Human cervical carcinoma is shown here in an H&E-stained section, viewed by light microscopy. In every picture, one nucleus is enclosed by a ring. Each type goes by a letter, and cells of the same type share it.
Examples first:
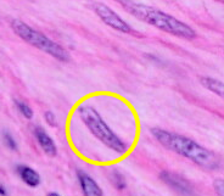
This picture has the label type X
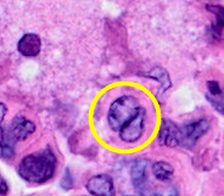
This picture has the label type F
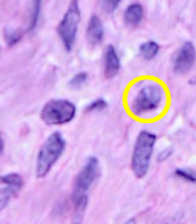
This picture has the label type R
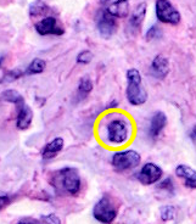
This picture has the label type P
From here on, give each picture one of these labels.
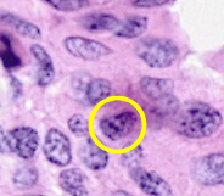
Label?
type F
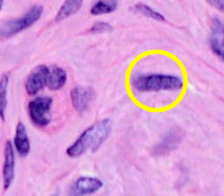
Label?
type R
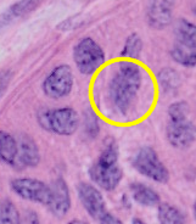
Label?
type F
